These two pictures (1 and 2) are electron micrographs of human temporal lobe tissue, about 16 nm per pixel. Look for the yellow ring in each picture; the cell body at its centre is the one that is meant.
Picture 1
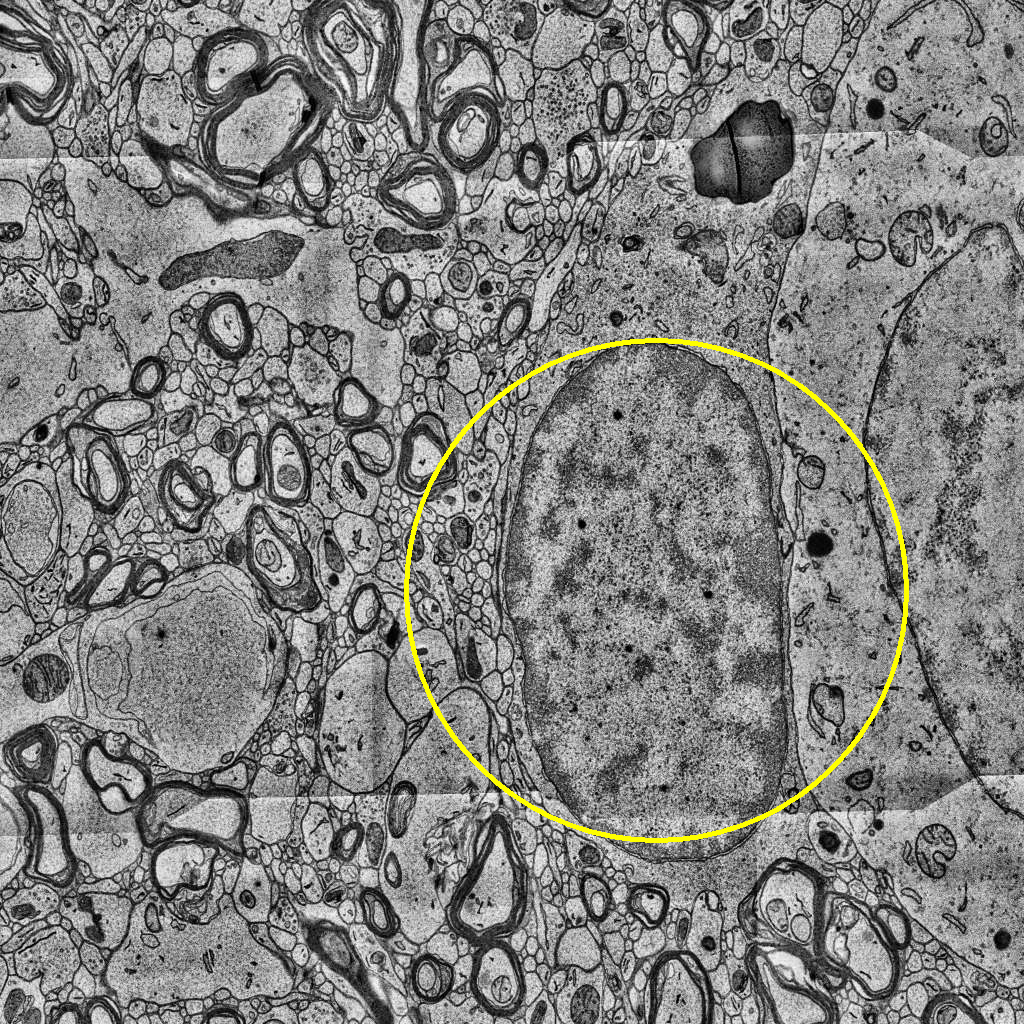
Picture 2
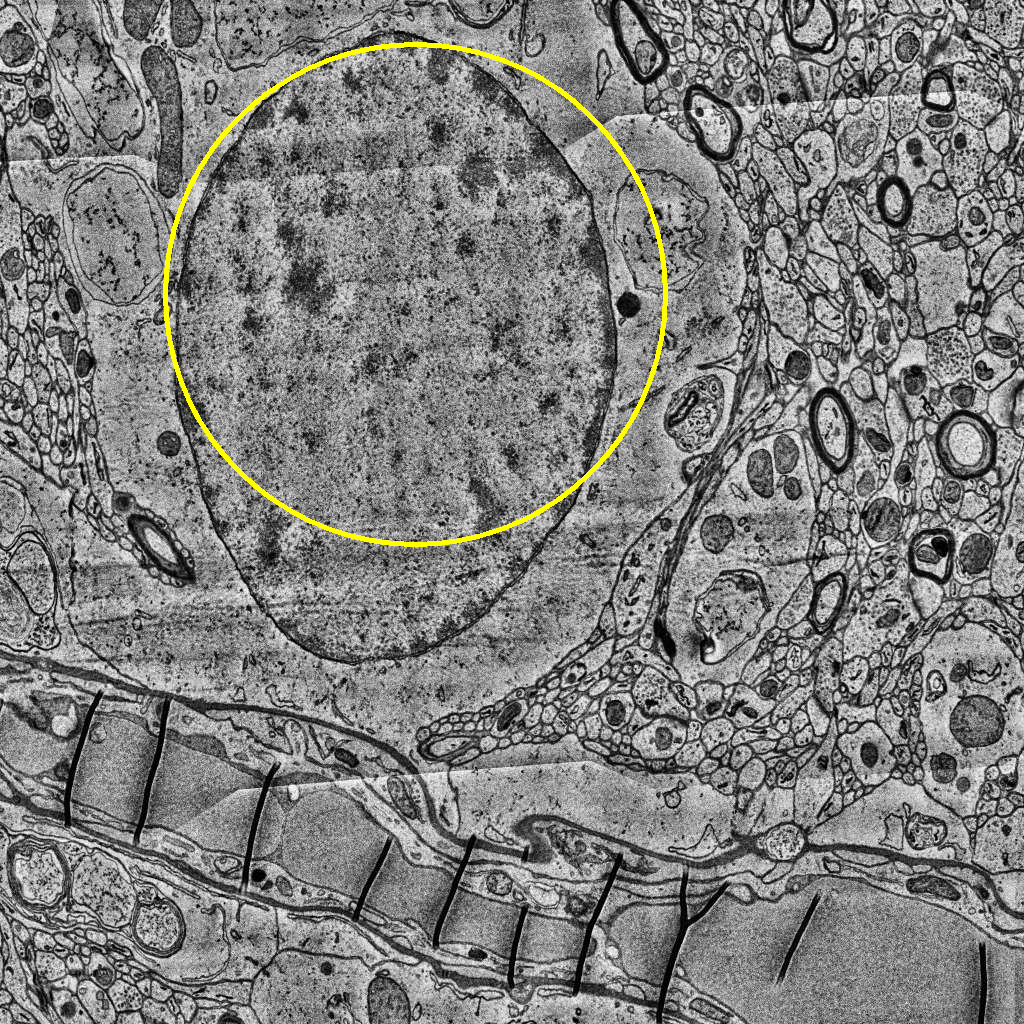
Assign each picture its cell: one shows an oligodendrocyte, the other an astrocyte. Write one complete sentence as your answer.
In picture 1 the cell is an oligodendrocyte; in picture 2, an astrocyte.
